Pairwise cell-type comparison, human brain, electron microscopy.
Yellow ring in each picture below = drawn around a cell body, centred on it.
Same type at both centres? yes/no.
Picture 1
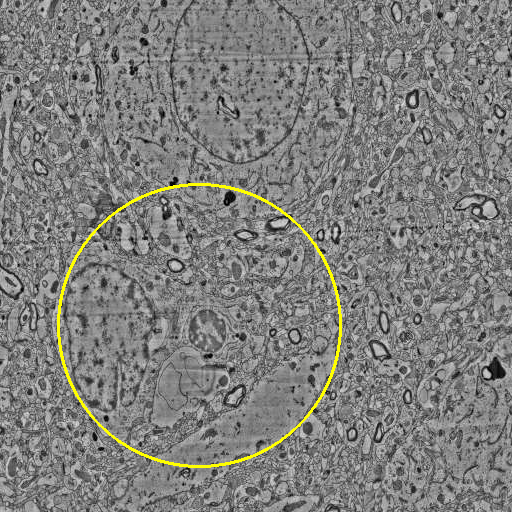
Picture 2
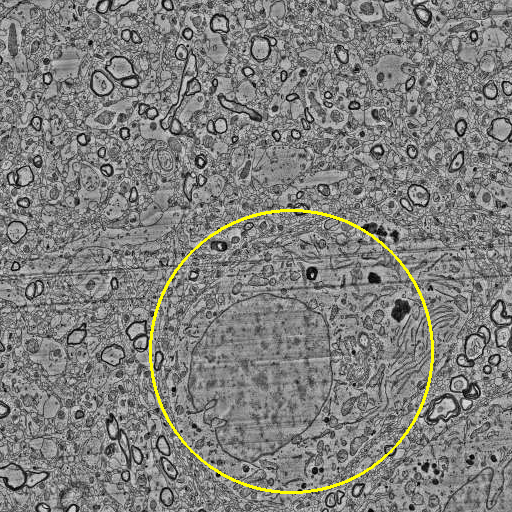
no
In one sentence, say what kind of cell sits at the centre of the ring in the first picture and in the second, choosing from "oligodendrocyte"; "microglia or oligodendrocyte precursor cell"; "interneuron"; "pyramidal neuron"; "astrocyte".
The first picture's ringed cell is a microglial cell or oligodendrocyte precursor cell, while the second picture's is an interneuron.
